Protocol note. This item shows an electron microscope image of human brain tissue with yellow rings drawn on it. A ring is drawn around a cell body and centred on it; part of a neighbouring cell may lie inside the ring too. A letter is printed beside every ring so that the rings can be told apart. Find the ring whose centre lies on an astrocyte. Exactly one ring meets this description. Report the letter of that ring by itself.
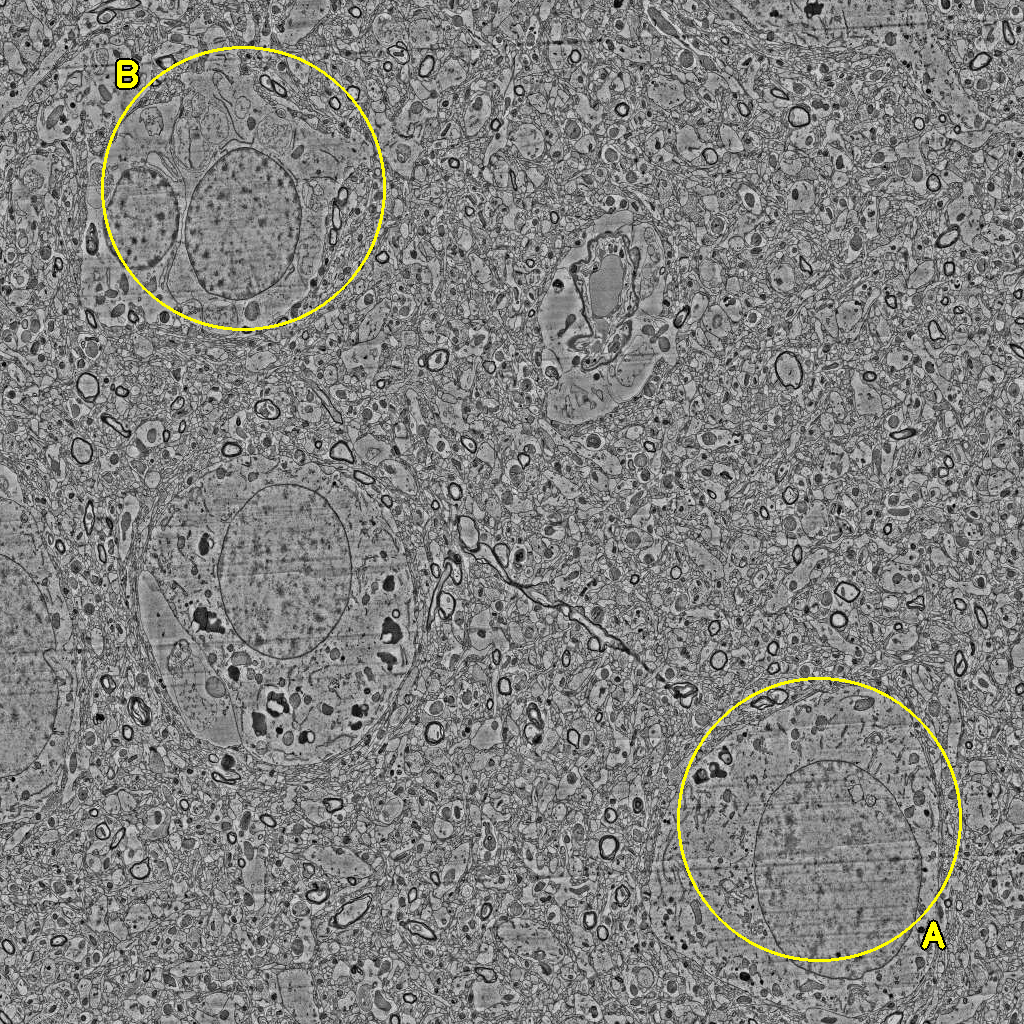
B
